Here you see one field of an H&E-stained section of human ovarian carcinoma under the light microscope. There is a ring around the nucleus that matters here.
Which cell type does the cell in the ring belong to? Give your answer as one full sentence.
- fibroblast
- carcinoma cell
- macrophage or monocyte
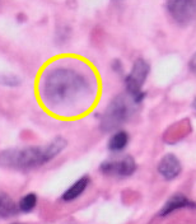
As a matter of cell type, the cell in the ring is a fibroblast.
